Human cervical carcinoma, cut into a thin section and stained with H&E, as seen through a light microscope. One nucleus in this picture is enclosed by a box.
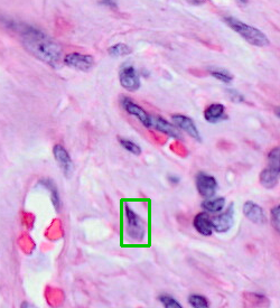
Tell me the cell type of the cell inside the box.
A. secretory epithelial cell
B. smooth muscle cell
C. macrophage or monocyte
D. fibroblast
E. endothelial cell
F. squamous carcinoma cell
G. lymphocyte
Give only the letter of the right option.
C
